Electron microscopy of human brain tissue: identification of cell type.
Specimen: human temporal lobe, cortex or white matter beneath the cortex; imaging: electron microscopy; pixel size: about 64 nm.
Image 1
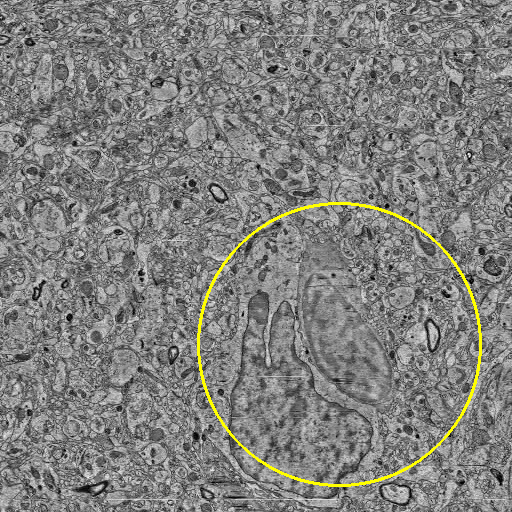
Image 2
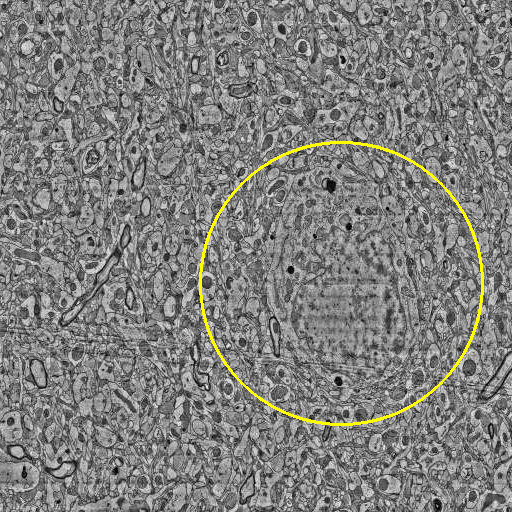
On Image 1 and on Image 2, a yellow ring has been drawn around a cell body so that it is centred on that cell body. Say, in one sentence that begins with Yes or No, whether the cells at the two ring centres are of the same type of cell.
No, the two cells are two separate types of cell.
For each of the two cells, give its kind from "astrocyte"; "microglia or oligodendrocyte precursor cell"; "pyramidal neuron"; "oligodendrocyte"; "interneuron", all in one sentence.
The first picture has an oligodendrocyte in its ring, the second has an interneuron.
